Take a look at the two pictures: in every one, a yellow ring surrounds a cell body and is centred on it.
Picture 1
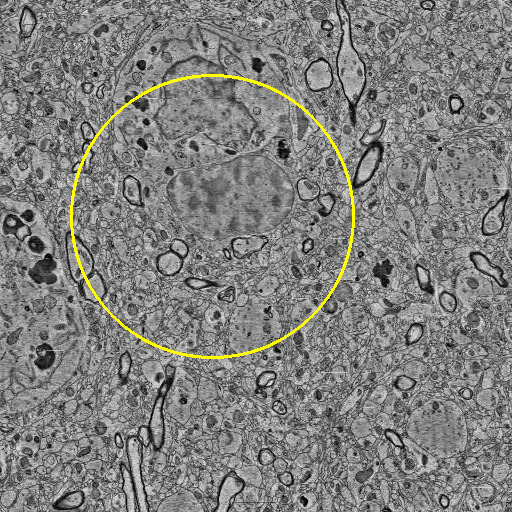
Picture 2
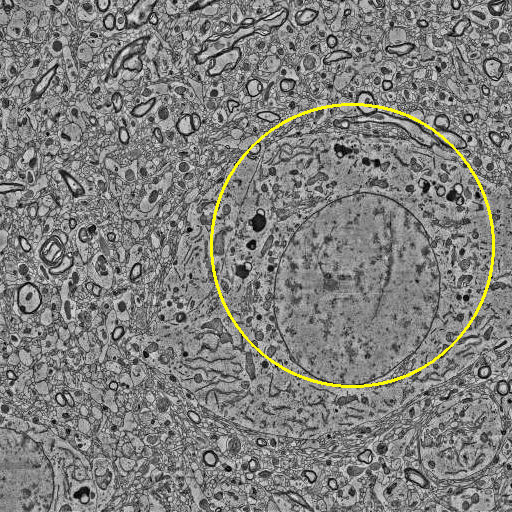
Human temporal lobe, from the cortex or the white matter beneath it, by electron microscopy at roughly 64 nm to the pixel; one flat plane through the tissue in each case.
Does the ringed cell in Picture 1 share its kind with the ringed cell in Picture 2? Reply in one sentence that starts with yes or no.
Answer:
No, the two centred cells, one per picture, are of two kinds.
